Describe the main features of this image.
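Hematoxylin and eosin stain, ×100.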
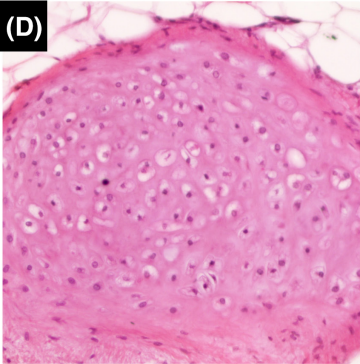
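This is a nodule of cartilage, made of chondrocytes lying in a firm matrix. The matrix is smooth and pale pink to lilac, without visible fibres. Each chondrocyte sits in its own small clear space, a lacuna, with a small dark nucleus, and the cells are scattered fairly evenly through the nodule. At the edge the cells become flattened and spindle-shaped, forming a thin rim around the cartilage. Above the nodule a few large empty fat cells can be seen.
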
